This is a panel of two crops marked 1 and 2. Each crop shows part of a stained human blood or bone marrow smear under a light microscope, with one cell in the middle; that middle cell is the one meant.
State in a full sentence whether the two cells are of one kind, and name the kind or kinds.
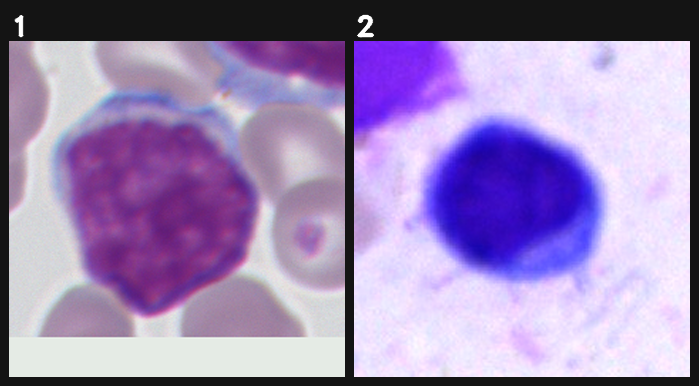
Yes, what both crops show is lymphocytes.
